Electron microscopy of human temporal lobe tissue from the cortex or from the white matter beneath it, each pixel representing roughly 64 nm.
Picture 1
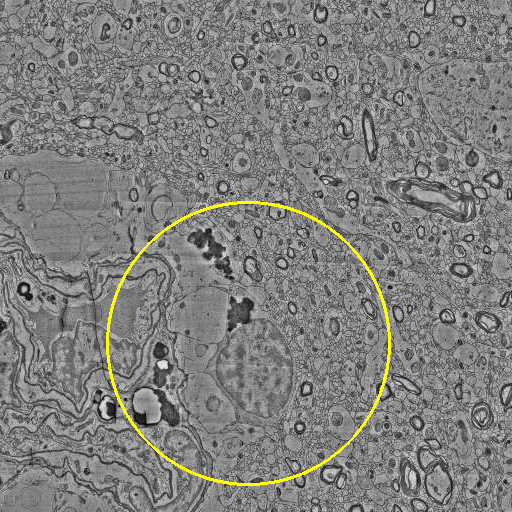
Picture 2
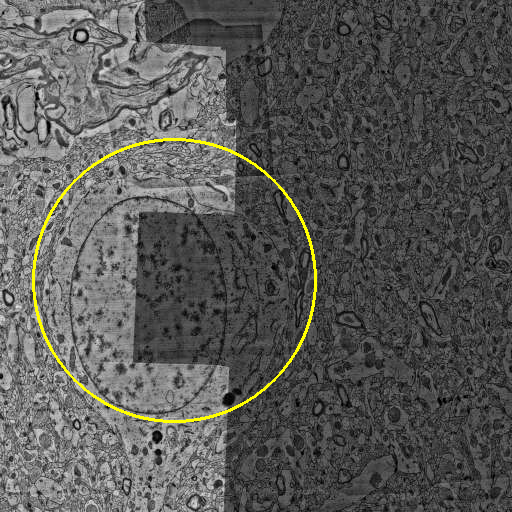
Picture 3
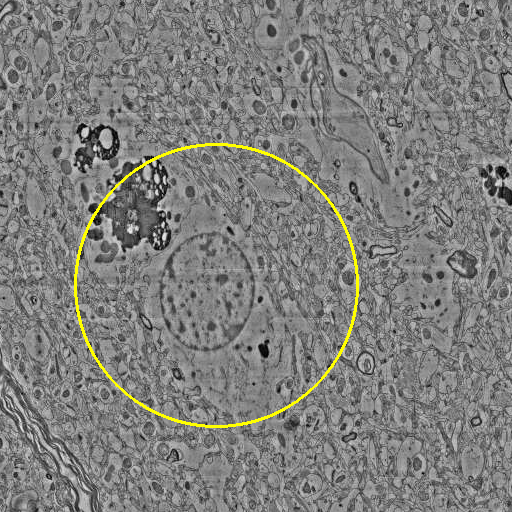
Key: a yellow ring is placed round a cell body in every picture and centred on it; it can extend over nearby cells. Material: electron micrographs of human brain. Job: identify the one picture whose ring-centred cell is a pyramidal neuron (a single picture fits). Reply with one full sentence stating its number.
Picture 2 is the one with the sought cell at the centre of its ring.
